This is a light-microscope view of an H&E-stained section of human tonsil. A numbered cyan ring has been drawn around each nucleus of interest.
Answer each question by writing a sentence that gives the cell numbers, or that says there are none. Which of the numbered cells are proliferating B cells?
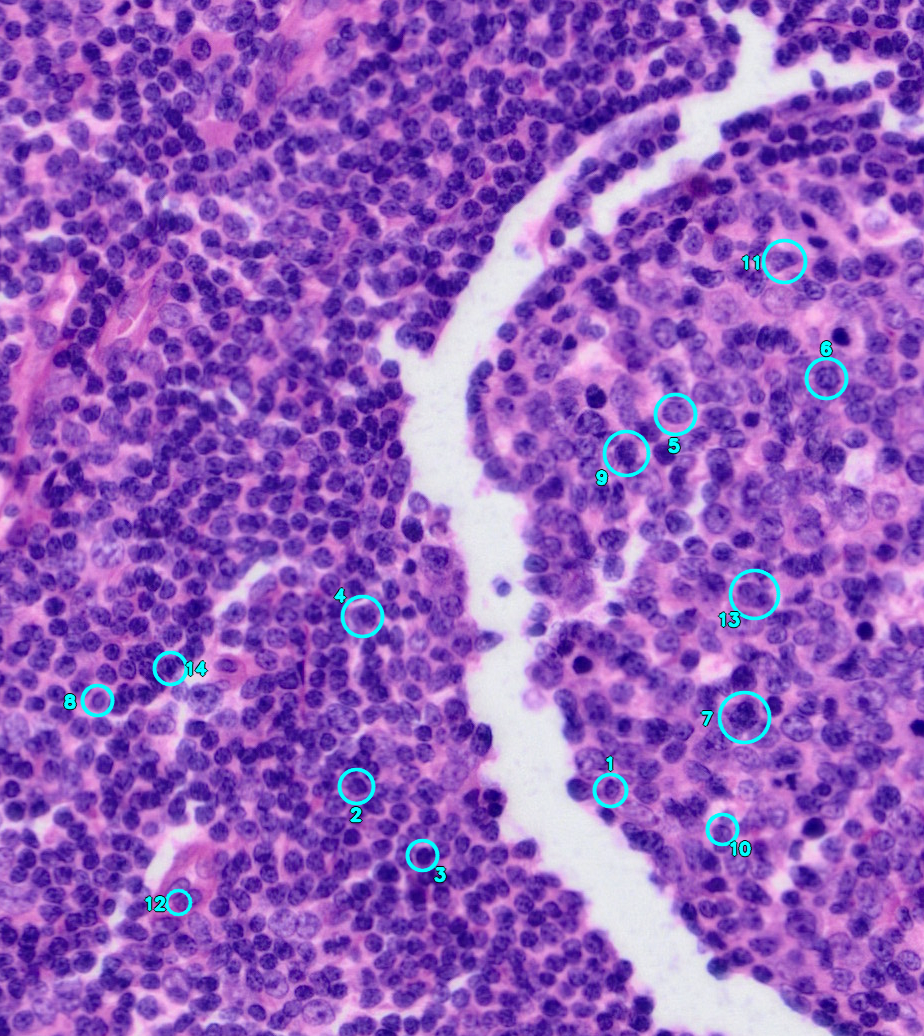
Here, the cells that carry numbers 1, 5, 6, 7, 9, 10, 11 and 13 are proliferating B cells.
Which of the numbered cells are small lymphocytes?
The cells that have been numbered 2, 3, 4, 8 and 14 are small lymphocytes.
